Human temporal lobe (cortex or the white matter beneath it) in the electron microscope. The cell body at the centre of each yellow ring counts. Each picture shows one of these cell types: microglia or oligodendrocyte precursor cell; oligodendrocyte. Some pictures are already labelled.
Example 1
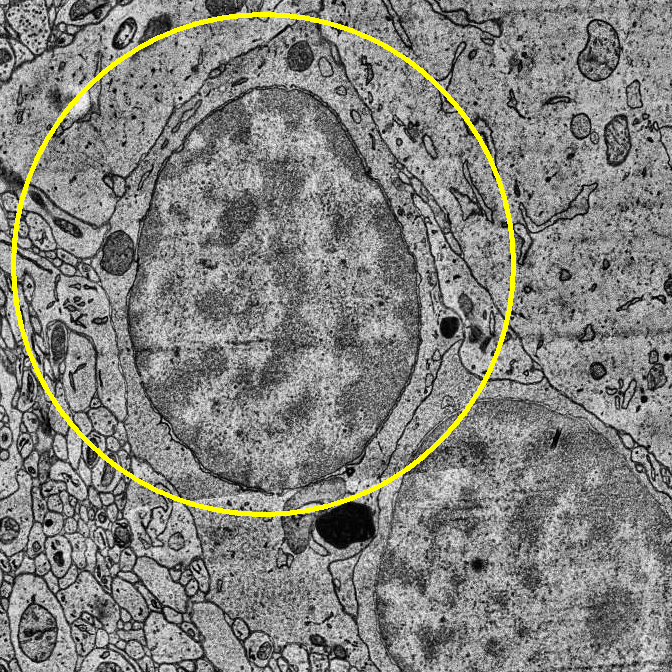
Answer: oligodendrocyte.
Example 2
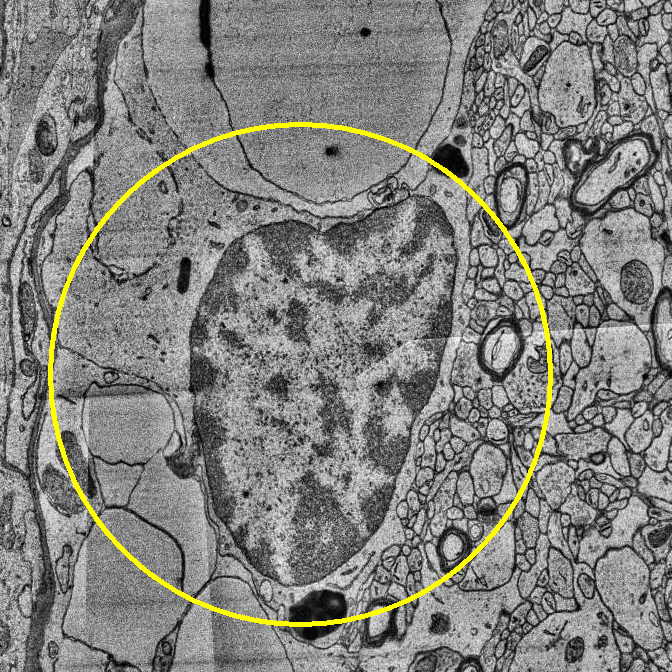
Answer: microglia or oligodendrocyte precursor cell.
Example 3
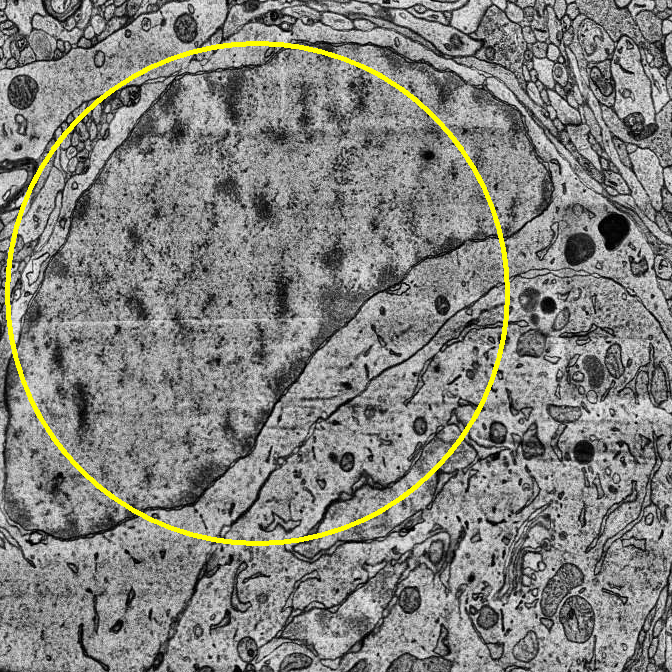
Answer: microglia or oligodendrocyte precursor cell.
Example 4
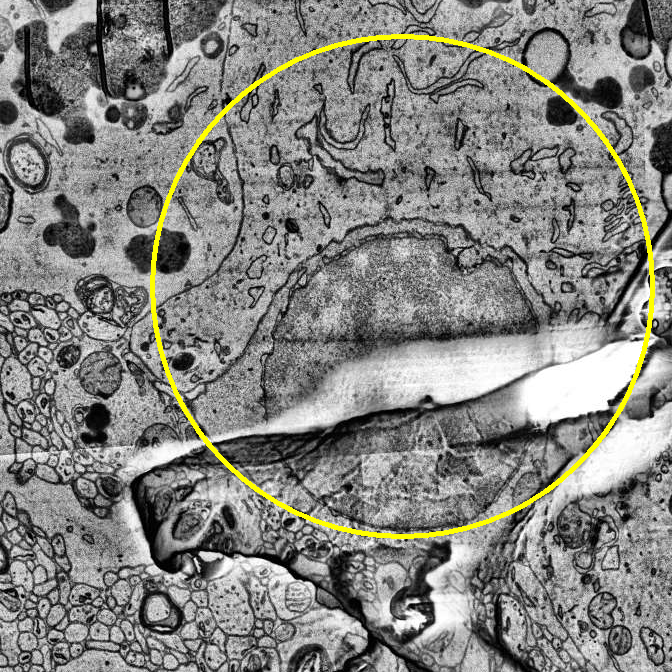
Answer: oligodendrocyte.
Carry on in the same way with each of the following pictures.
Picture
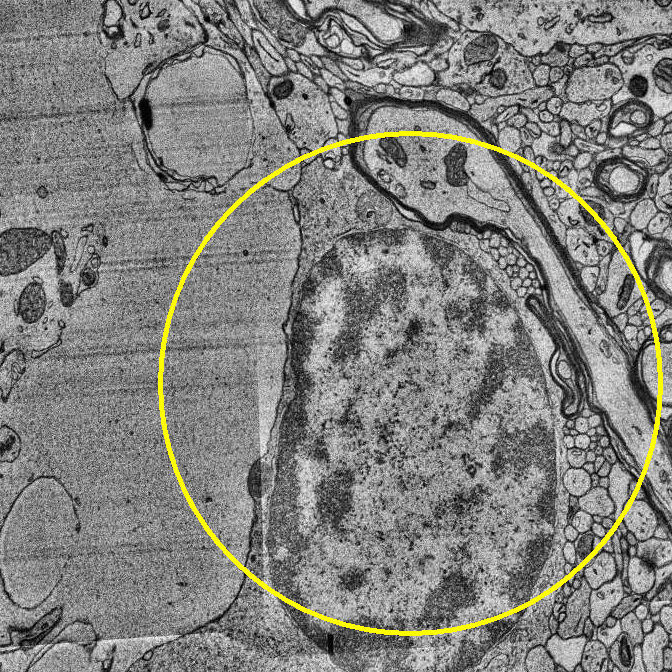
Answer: oligodendrocyte.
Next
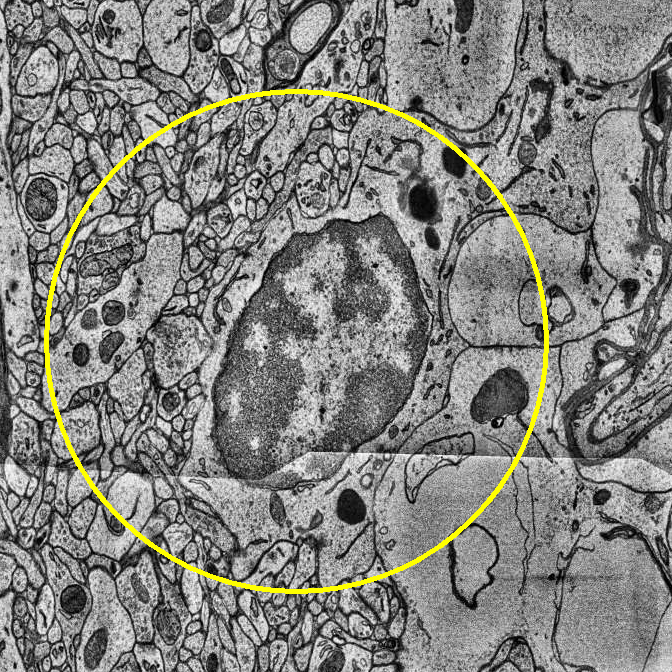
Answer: microglia or oligodendrocyte precursor cell.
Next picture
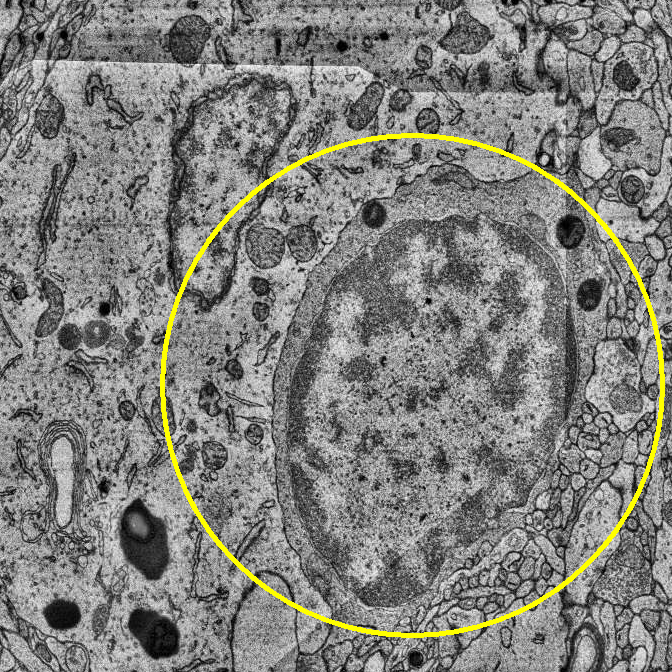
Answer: oligodendrocyte.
